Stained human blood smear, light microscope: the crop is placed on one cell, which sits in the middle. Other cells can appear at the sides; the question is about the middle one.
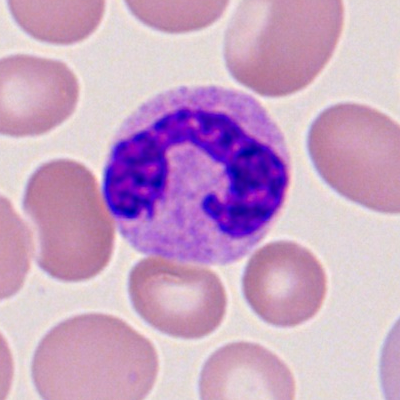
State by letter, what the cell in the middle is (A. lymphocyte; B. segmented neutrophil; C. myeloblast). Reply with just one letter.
B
